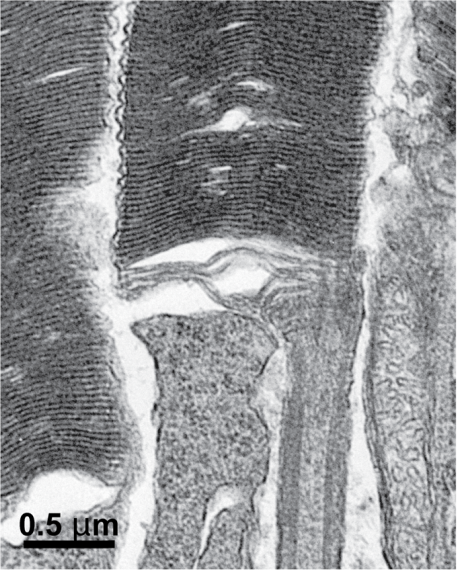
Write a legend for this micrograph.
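This shows rod photoreceptors at the junction between inner and outer segment. The upper part of the central cell is filled by a tall column of tightly packed, evenly spaced parallel membrane disks, the outer segment. At its base, a slim shaft with parallel longitudinal microtubule lines runs downward on the right side, the connecting cilium on which the disk stack sits. A neighbouring outer segment with the same regular striation lies to the left, and to the right lies inner segment cytoplasm with mitochondria showing cristae. Small clefts between cells are artefactual spaces of preparation.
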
